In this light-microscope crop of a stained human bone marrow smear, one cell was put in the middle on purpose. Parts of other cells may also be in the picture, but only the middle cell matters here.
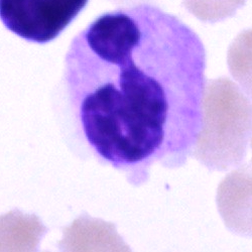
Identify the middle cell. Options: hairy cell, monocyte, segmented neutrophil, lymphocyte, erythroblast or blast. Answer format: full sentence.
The cell at the middle of the frame should be recorded as a segmented neutrophil.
